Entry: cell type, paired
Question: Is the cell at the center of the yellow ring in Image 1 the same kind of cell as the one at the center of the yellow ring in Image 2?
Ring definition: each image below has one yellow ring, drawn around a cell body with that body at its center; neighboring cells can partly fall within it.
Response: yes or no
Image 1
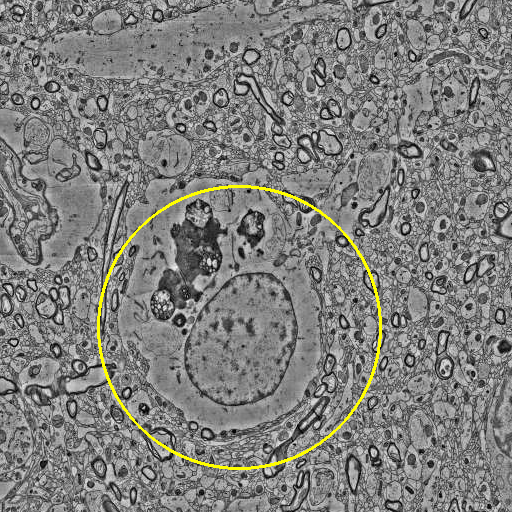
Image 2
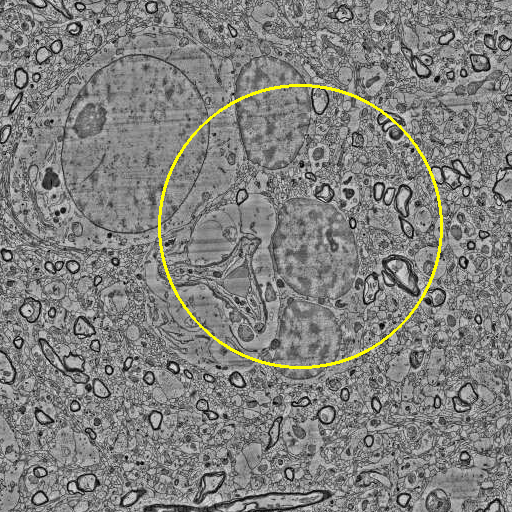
no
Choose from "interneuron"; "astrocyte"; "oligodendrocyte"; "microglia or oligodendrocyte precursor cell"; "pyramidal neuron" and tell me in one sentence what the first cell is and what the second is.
What the first ring is centred on is an astrocyte; what the second ring is centred on is an oligodendrocyte.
